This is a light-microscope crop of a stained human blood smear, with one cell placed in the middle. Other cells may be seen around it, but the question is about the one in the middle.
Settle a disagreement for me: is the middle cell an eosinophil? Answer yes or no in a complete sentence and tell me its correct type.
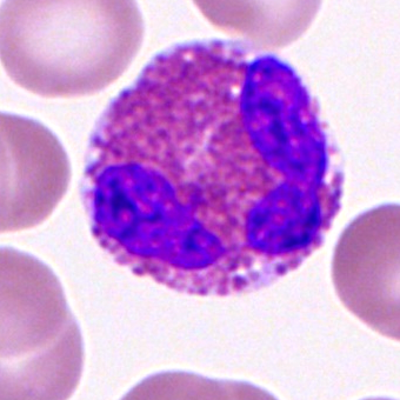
Yes, it is an eosinophil that is seen at the centre of the crop.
